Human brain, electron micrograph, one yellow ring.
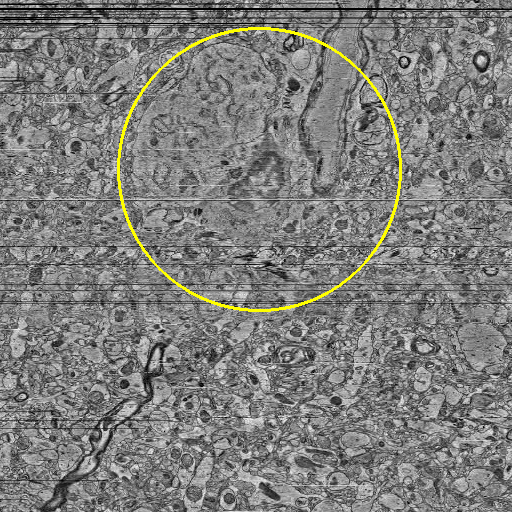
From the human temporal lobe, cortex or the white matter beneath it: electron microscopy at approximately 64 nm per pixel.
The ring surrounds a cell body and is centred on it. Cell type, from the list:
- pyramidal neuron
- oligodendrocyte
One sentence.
The yellow ring circles an oligodendrocyte.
